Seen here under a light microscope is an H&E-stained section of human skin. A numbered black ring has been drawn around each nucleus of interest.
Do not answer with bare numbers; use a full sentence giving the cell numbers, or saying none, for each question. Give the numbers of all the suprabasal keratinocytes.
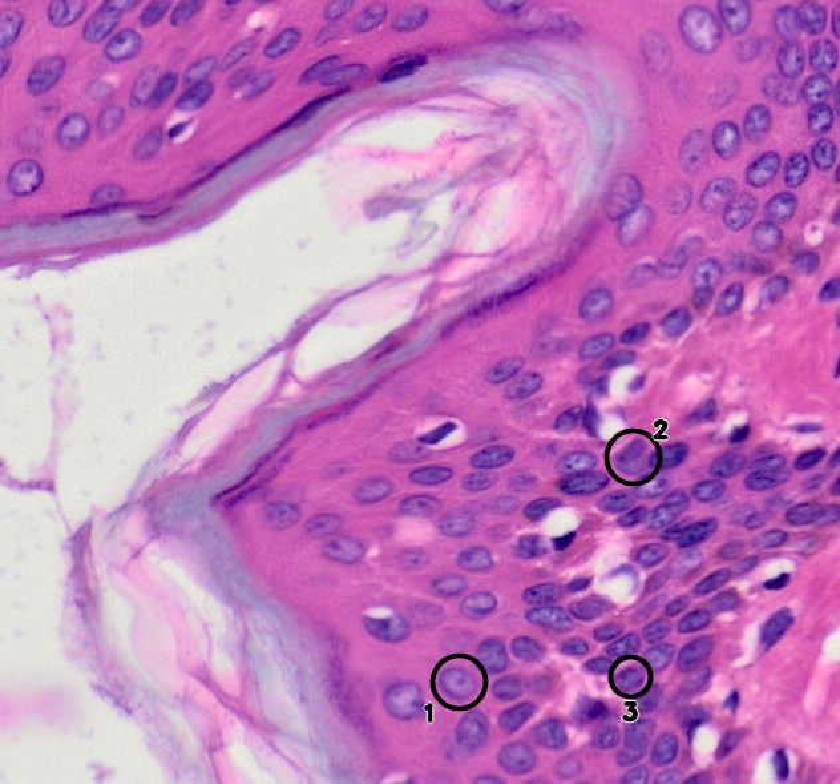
Only the cell numbered 1 is a suprabasal keratinocyte, and the others are something else.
